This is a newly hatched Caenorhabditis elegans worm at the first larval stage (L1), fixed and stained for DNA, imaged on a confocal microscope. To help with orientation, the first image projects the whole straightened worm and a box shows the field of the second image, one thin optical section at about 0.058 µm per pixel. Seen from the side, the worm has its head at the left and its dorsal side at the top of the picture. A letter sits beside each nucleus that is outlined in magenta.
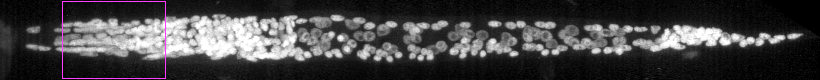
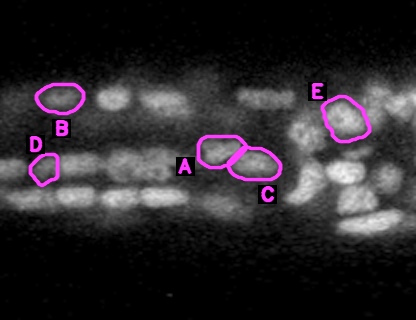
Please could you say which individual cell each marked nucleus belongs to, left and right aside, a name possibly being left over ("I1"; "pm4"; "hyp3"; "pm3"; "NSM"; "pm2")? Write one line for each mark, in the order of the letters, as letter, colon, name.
A: pm3
B: hyp3
C: I1
D: pm2
E: pm4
